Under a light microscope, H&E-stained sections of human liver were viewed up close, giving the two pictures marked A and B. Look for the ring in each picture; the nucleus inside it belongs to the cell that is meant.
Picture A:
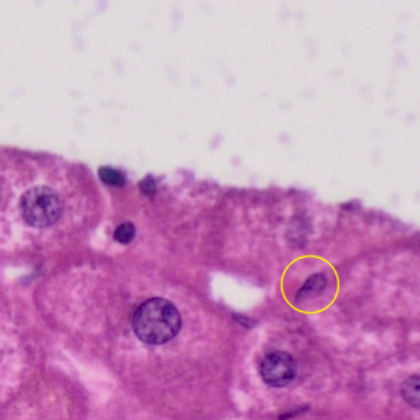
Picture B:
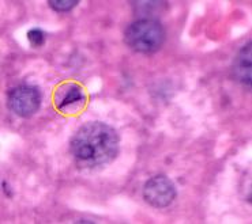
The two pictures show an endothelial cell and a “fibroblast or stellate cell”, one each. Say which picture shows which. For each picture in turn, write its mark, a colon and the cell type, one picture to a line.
A: endothelial cell
B: fibroblast or stellate cell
